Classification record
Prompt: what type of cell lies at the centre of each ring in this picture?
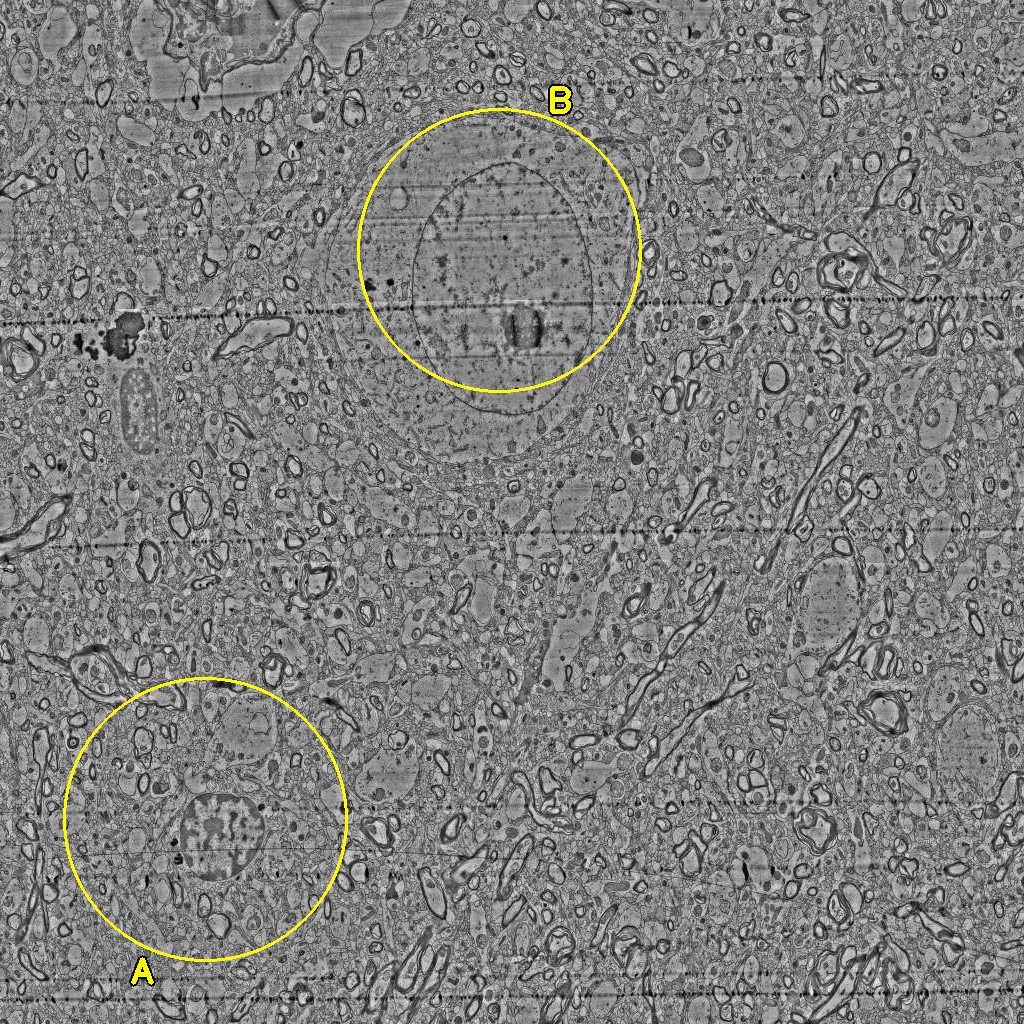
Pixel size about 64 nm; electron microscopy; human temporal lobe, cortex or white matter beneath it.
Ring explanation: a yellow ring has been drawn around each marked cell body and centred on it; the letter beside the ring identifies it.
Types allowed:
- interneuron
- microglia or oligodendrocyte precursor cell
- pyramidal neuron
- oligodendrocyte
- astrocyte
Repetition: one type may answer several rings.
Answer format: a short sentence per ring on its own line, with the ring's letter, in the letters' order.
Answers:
Ring A shows a microglial cell or oligodendrocyte precursor cell at its centre.
Ring B shows a pyramidal neuron at its centre.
